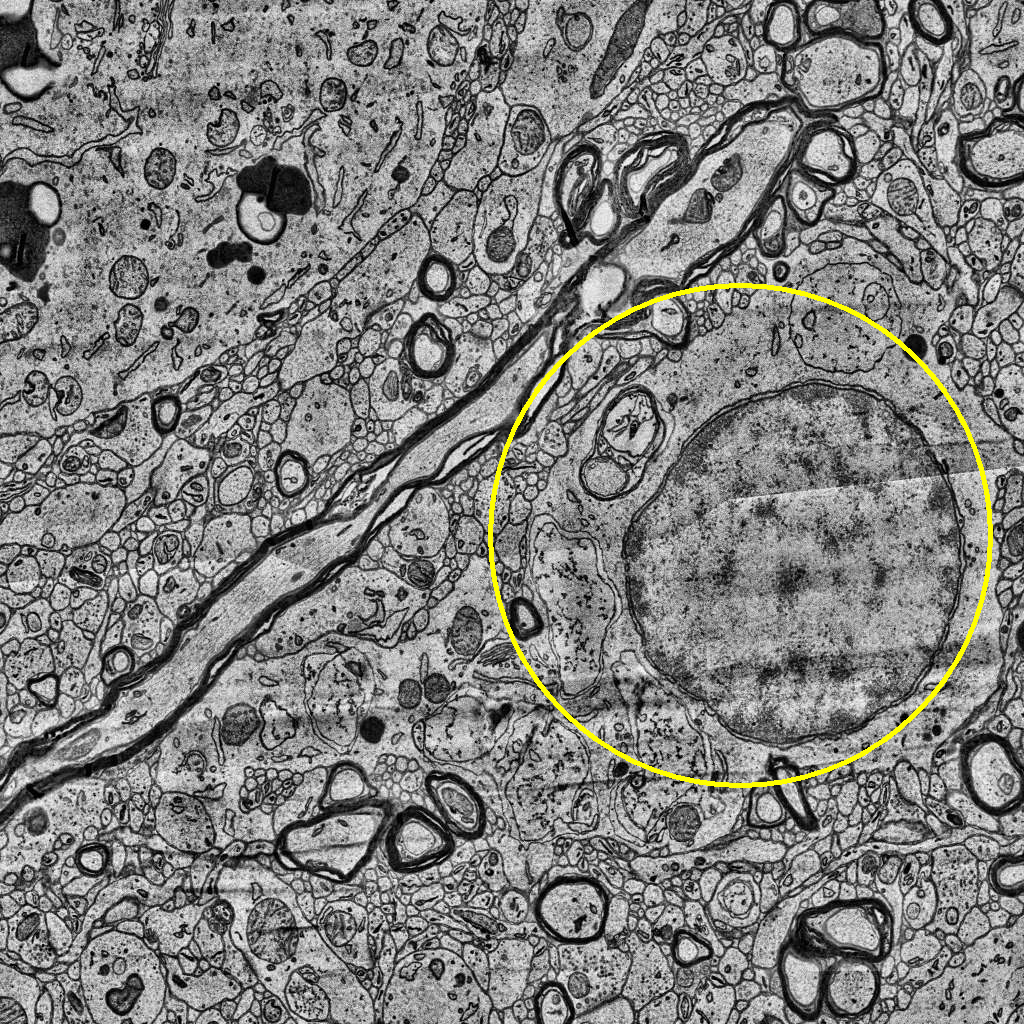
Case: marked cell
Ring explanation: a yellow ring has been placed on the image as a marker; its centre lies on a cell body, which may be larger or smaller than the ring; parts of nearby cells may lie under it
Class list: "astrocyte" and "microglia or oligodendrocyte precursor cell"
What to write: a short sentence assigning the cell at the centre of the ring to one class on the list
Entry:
The cell at the ring's centre is an astrocyte.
